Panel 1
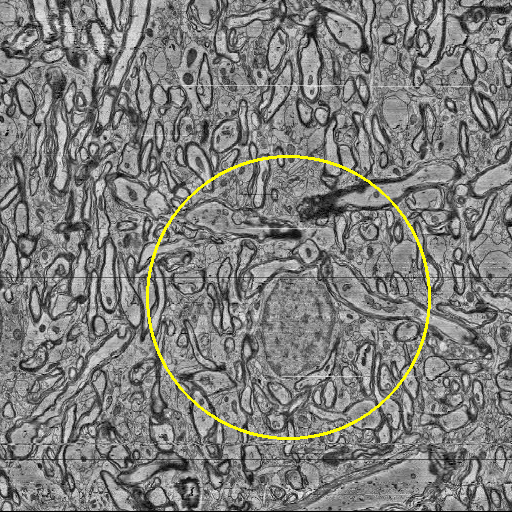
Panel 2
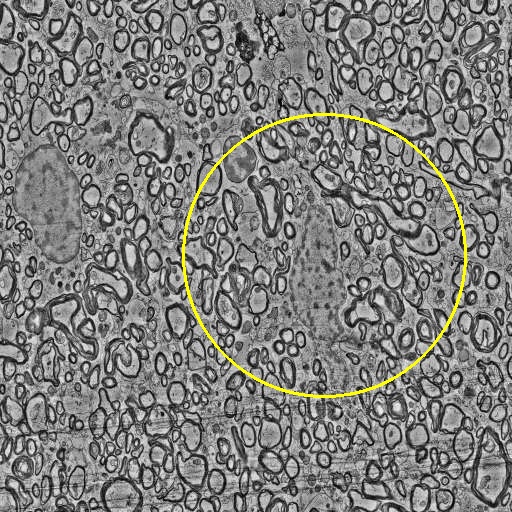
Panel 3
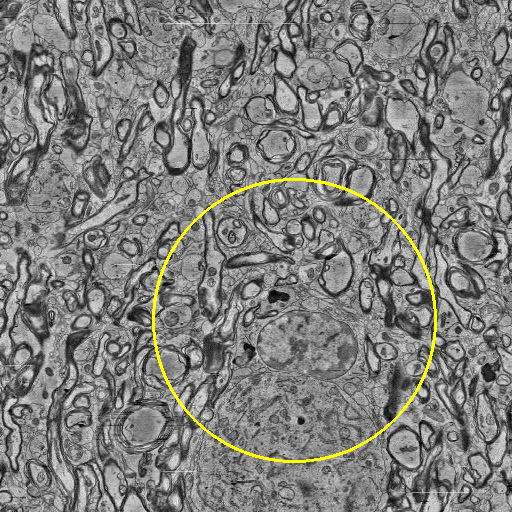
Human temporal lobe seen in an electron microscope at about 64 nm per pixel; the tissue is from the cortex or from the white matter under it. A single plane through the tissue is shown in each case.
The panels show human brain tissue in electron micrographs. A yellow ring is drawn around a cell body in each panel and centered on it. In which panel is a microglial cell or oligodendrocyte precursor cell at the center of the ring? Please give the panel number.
3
